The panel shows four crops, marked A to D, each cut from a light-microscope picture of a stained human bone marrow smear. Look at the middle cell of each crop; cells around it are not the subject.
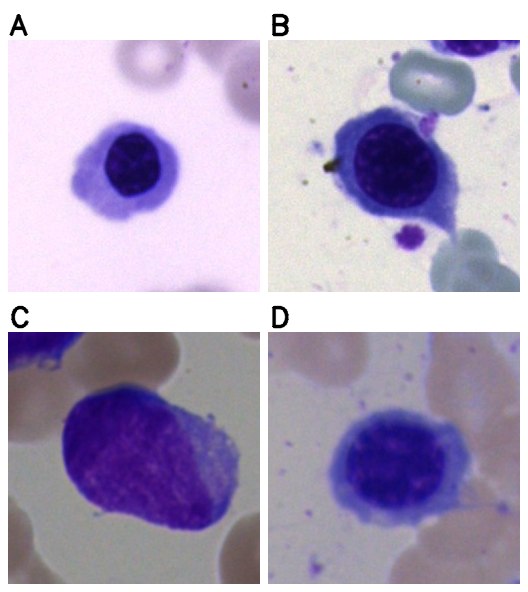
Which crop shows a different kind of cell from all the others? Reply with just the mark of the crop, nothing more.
C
